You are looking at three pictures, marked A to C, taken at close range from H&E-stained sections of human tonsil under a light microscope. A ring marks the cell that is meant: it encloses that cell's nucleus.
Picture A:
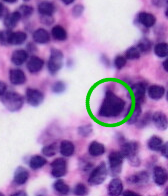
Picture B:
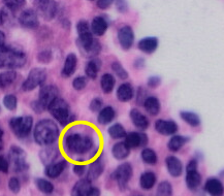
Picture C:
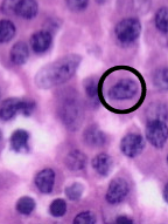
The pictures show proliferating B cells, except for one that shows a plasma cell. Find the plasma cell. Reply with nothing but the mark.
C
